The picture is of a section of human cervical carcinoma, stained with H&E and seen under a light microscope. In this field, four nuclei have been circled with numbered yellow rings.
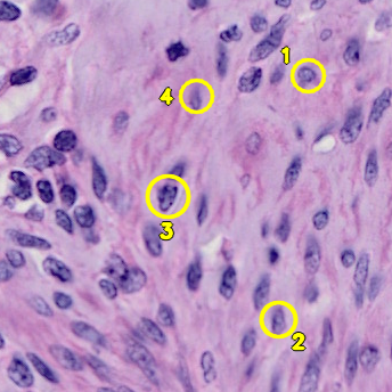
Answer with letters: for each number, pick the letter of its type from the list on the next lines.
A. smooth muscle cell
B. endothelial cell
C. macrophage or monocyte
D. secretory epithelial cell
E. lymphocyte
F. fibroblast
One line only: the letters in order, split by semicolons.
A; A; E; A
